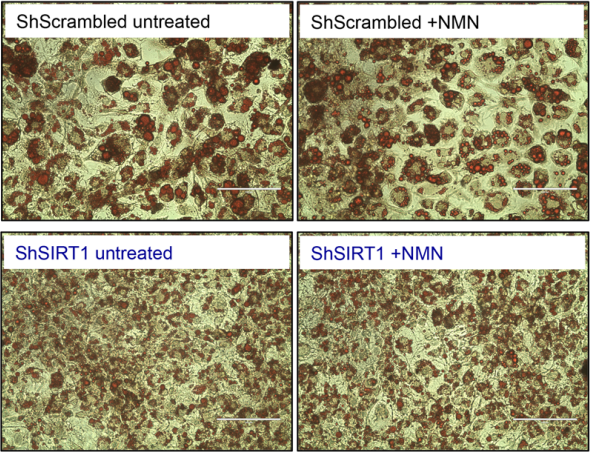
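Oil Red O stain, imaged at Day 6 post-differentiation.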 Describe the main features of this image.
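Many rounded cells are packed with round droplets that stain red, the droplets varying from small to large within a cell. Between the red-filled cells lie paler, flatter cells and unstained spaces. In the lower two fields the red-stained cells look smaller and more crowded, with finer droplets, than in the upper two.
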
